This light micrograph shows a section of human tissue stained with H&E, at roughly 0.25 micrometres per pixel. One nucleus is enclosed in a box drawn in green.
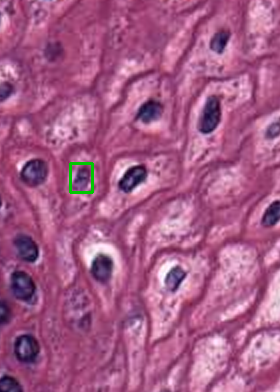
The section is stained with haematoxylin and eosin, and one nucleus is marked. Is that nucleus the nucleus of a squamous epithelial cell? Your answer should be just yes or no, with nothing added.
yes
